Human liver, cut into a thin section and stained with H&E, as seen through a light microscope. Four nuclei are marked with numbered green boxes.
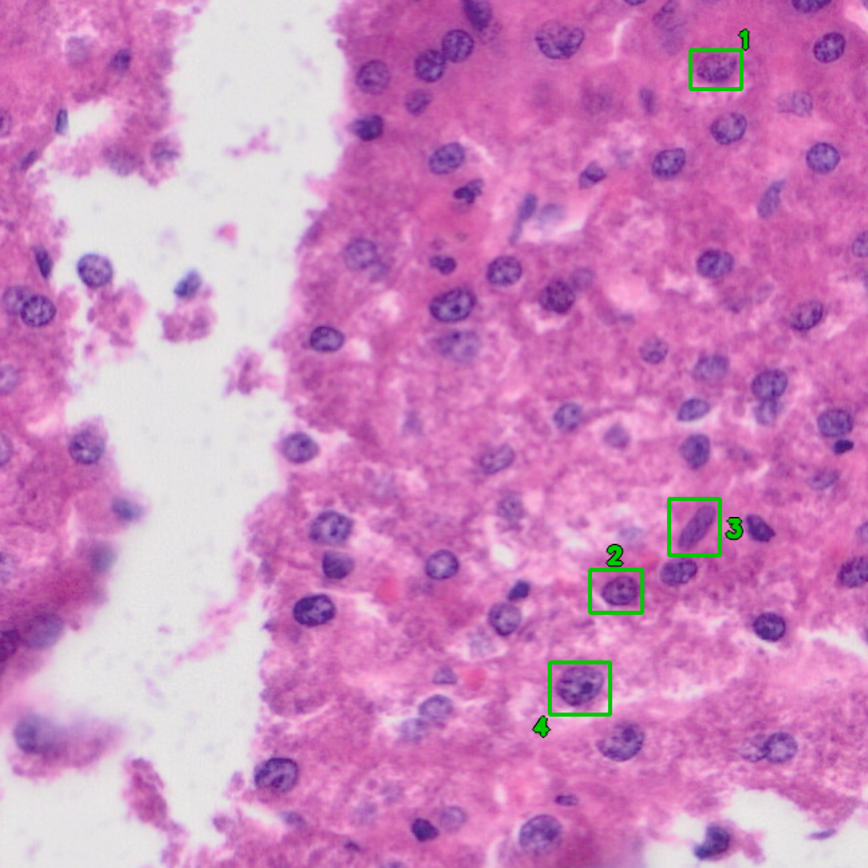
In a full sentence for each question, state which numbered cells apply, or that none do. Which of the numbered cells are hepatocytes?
Cells 1, 2 and 4 are of one type, namely hepatocytes.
